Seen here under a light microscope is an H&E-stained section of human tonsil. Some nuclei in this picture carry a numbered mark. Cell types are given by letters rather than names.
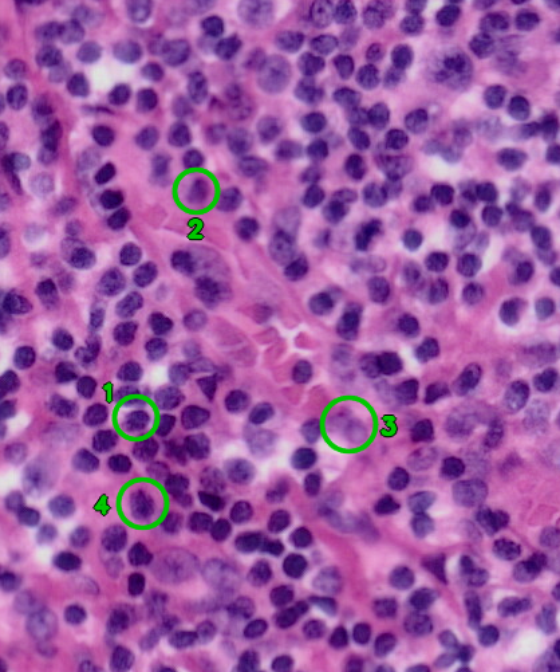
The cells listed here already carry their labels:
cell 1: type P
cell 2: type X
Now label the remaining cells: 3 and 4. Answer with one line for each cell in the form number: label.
3: type X
4: type X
